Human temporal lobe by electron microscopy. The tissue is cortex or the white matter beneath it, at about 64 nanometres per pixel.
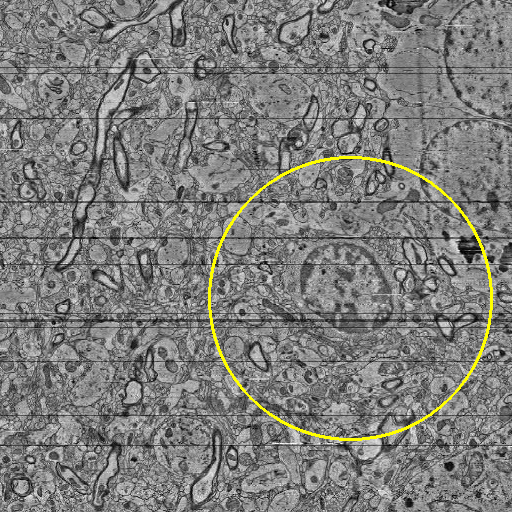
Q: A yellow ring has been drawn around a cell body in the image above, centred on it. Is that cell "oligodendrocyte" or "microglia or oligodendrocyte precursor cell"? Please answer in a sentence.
The ring surrounds the cell body of an oligodendrocyte.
